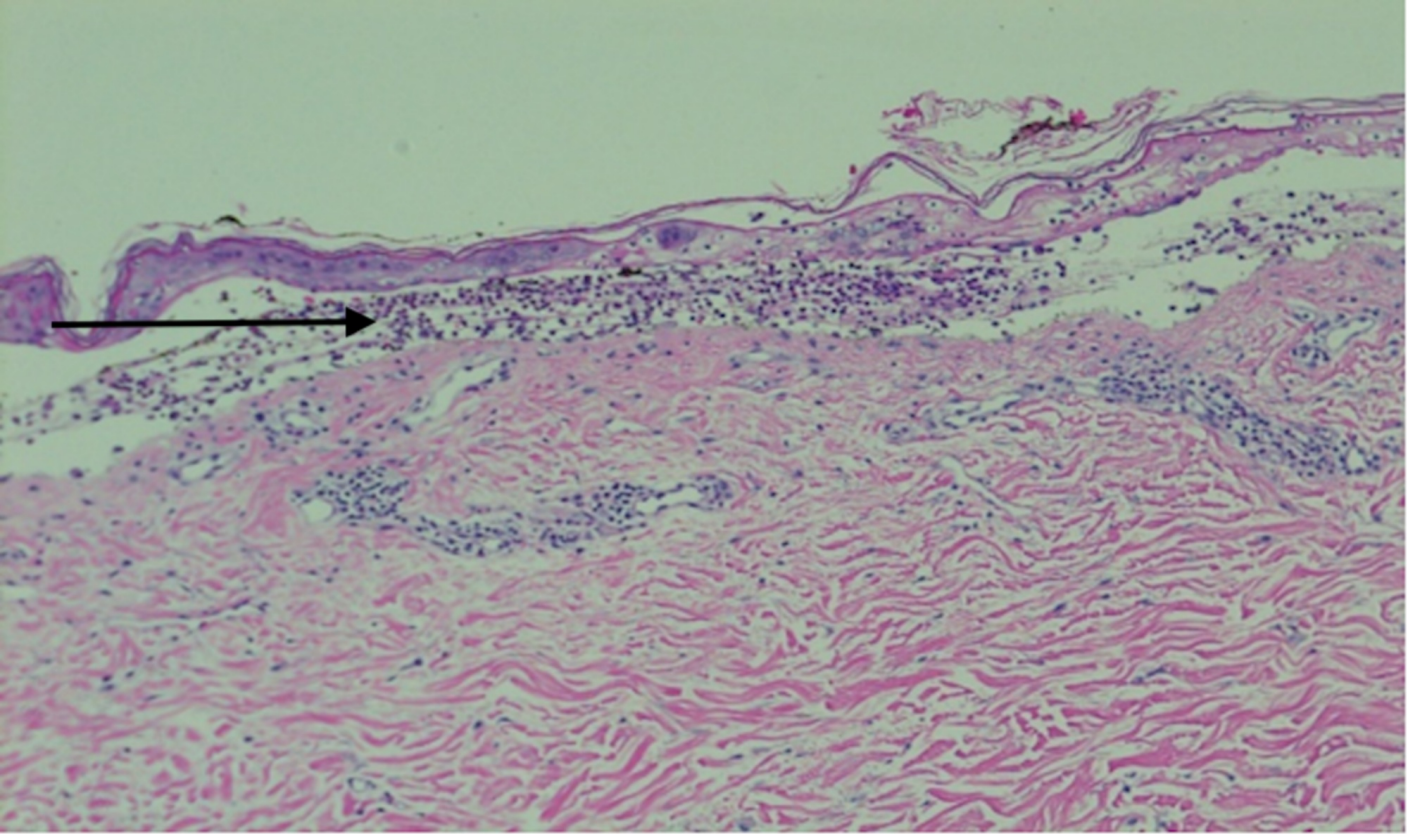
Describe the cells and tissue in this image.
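This section of skin shows a thin epidermis lifted off the dermis, leaving a subepidermal cleft filled with many inflammatory cells that appear as small, dark purple nuclei. The inflammatory cells crowd most densely in the cleft just beneath the epidermis, while a few lie loosely within the open space. The upper dermis below holds further clusters of inflammatory cells gathered around small vessels. The deeper dermis consists of wavy, pink-staining collagen bundles with sparse, scattered nuclei.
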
